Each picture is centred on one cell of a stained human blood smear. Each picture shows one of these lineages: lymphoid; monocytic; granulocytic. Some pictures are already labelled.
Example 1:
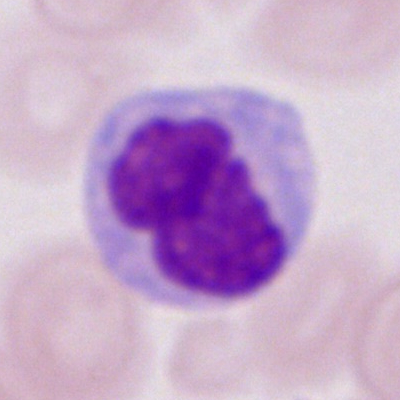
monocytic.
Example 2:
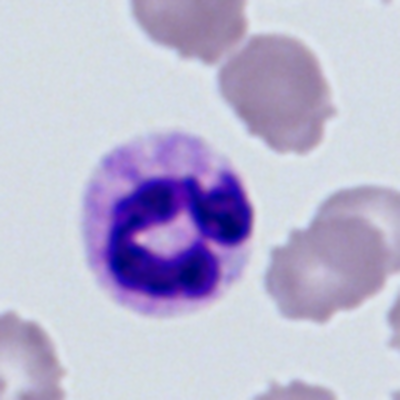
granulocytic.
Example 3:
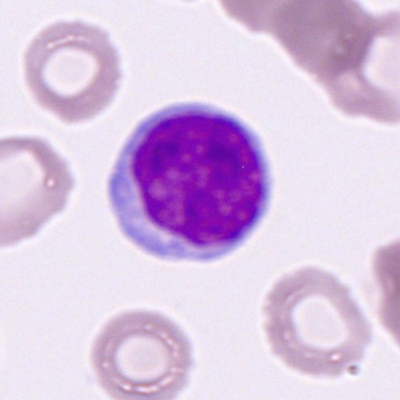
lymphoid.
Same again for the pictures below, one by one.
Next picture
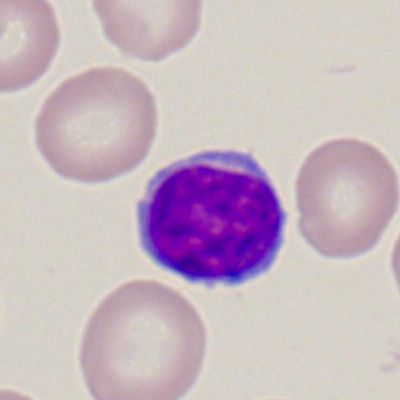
lymphoid.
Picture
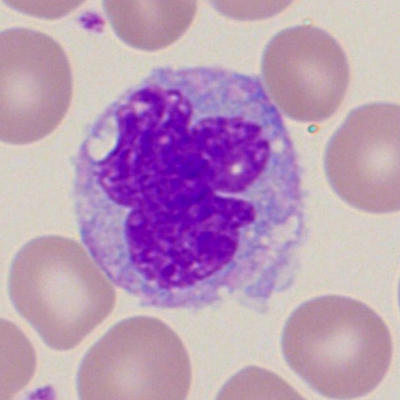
monocytic.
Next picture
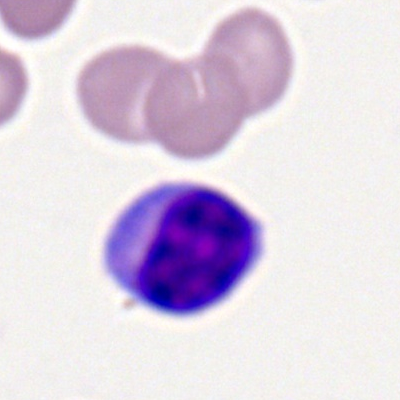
lymphoid.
